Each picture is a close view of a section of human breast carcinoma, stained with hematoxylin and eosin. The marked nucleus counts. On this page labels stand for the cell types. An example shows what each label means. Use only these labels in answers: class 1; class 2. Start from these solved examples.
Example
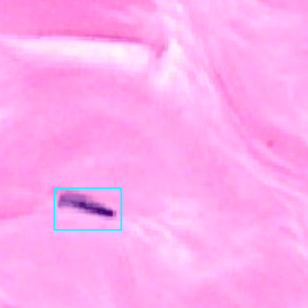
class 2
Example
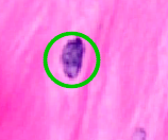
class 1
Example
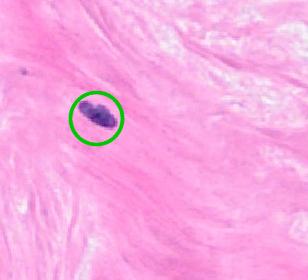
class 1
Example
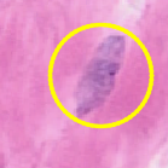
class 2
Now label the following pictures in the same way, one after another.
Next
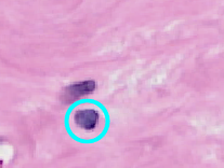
class 1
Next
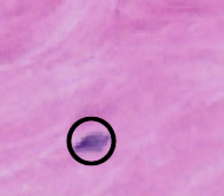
class 2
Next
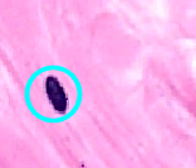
class 1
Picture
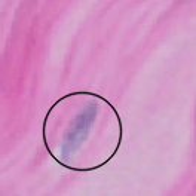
class 2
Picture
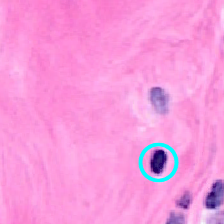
class 1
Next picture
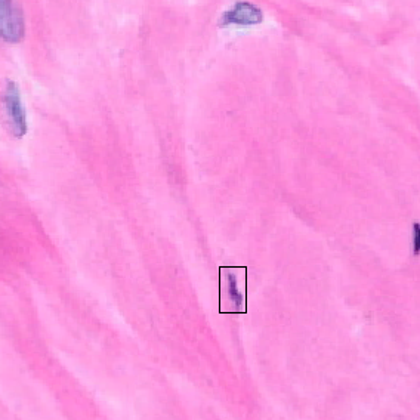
class 2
